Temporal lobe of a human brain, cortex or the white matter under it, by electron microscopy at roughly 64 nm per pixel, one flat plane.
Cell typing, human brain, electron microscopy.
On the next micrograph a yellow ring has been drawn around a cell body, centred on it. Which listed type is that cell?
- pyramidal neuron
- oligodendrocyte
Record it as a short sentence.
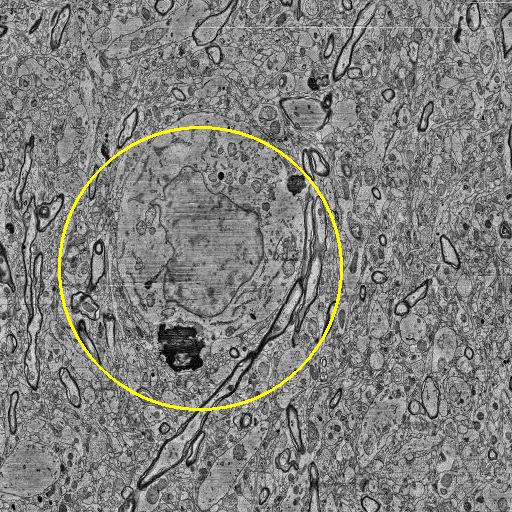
The cell body in the ring's centre belongs to a pyramidal neuron.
